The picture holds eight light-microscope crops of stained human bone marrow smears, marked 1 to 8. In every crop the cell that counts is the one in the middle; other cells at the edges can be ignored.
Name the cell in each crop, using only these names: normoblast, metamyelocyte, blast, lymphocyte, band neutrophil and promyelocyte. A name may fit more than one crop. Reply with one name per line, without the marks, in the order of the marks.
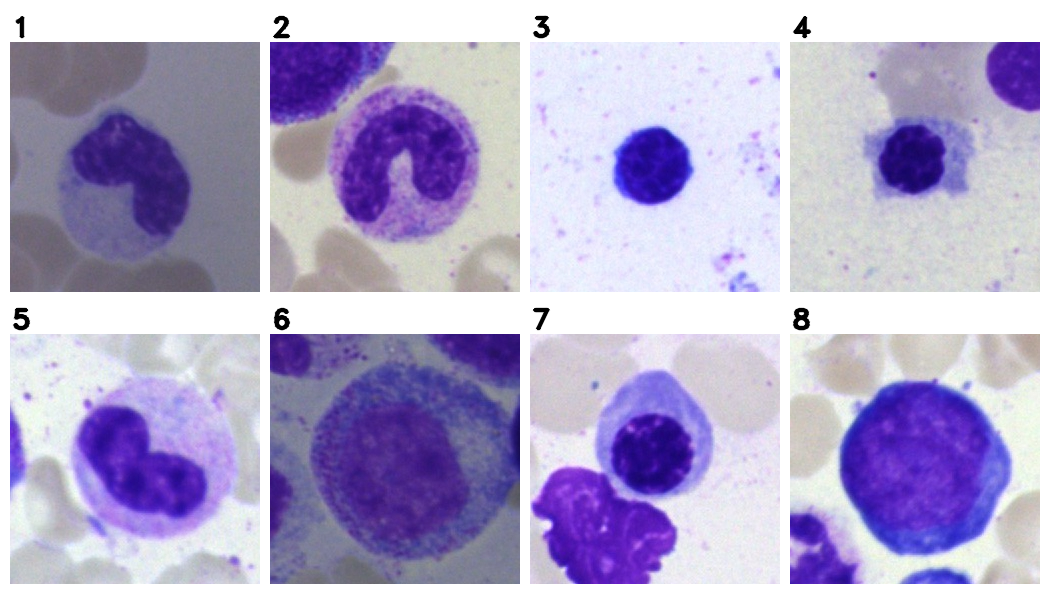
metamyelocyte
band neutrophil
lymphocyte
normoblast
band neutrophil
promyelocyte
normoblast
blast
